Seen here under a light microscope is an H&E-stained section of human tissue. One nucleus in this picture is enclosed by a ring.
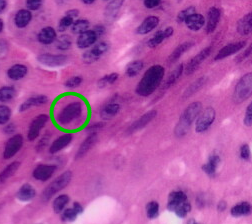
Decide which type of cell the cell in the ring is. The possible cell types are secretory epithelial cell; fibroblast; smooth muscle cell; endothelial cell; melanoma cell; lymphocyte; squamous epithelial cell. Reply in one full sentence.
In this preparation, the cell in the ring is a squamous epithelial cell.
